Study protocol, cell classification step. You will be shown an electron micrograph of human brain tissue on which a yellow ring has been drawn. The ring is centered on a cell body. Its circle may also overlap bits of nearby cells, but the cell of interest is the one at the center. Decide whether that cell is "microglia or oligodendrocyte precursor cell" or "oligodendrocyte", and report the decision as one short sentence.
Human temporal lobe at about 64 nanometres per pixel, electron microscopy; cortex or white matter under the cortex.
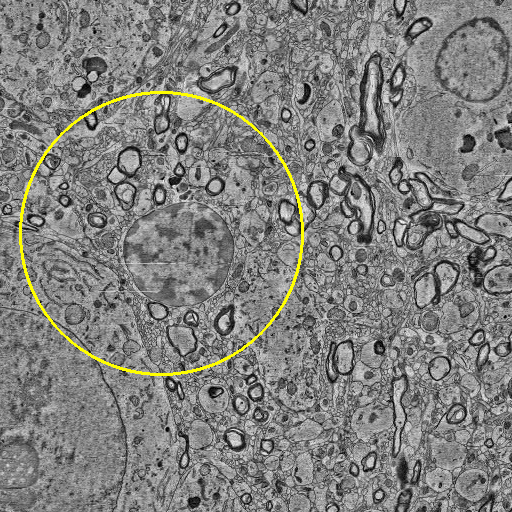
The marked cell is a microglial cell or oligodendrocyte precursor cell.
